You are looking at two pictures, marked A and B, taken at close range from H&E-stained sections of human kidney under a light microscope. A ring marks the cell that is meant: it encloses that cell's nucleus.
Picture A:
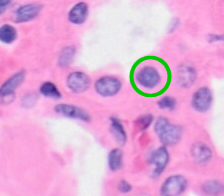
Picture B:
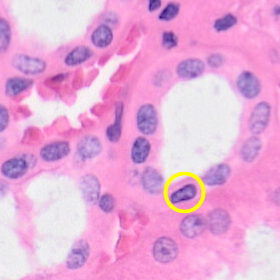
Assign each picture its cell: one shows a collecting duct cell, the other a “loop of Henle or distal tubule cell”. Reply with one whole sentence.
It is picture A that shows a “loop of Henle or distal tubule cell”, and picture B that shows a collecting duct cell.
